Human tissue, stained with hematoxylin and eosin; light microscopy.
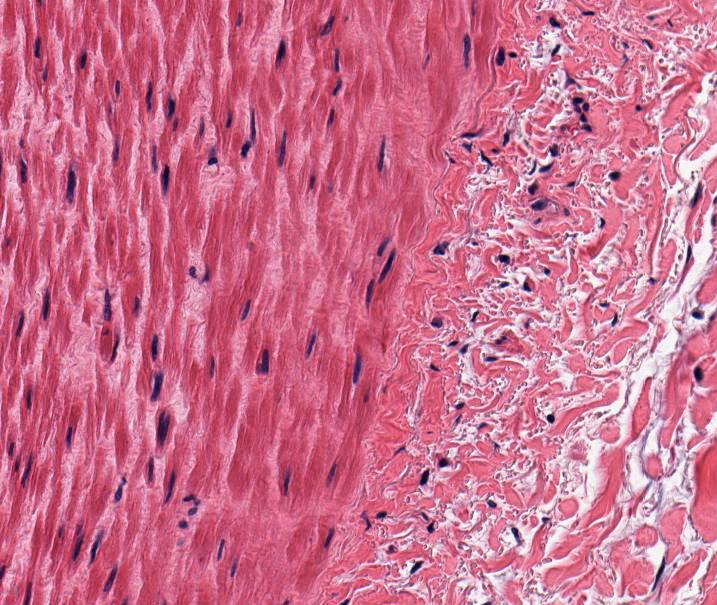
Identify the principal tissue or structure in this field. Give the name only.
tunica media of an artery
